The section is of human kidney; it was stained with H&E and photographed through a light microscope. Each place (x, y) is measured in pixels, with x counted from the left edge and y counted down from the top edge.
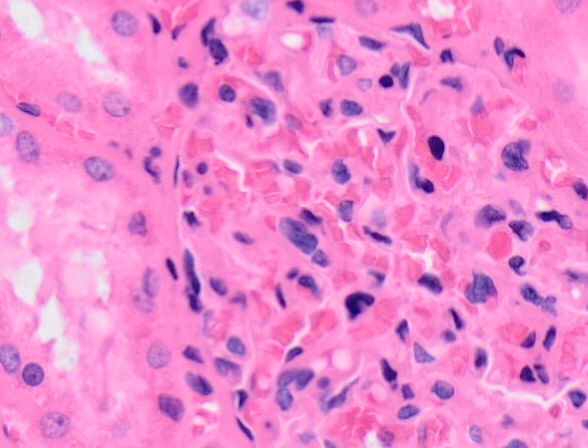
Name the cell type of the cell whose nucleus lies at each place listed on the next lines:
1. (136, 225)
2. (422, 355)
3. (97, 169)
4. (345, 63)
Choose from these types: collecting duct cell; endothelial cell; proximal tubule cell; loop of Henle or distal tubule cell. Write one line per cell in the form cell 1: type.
cell 1: proximal tubule cell
cell 2: endothelial cell
cell 3: proximal tubule cell
cell 4: endothelial cell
